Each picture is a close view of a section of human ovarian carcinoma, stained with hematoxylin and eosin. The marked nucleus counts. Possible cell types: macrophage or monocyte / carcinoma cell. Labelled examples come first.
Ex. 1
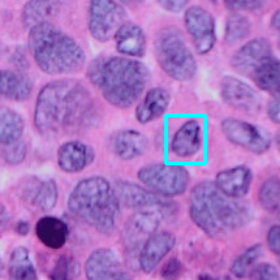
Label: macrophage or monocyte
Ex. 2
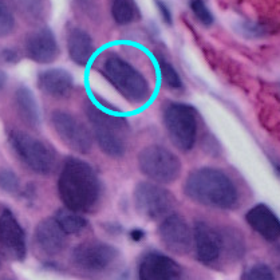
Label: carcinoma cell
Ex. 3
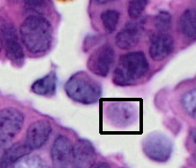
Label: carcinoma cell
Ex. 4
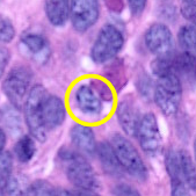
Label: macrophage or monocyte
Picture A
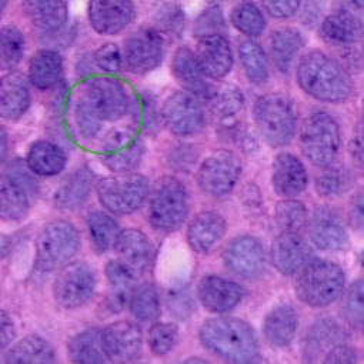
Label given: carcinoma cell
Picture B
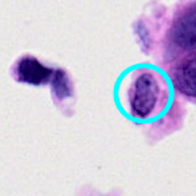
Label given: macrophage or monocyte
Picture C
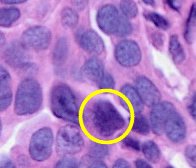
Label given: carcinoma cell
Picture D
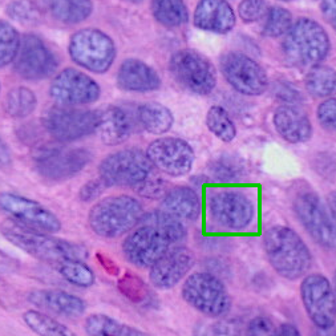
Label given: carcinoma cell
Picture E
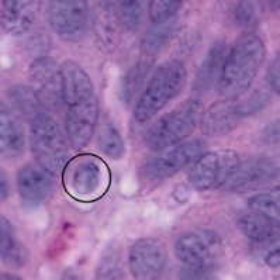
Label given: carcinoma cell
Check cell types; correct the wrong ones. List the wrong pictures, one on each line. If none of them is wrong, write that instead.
Wrong: E (carcinoma cell); correct: macrophage or monocyte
